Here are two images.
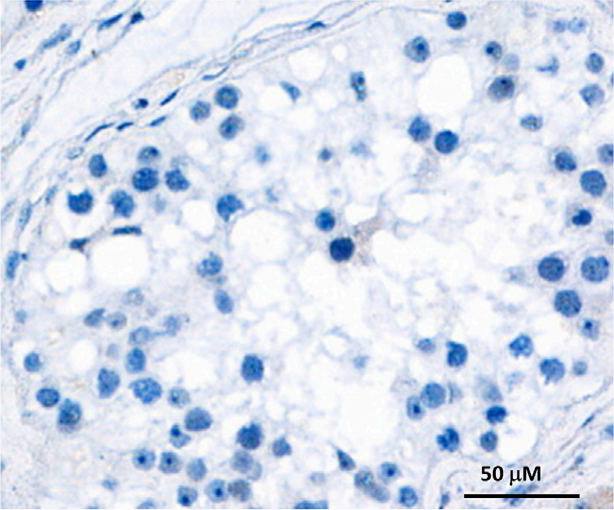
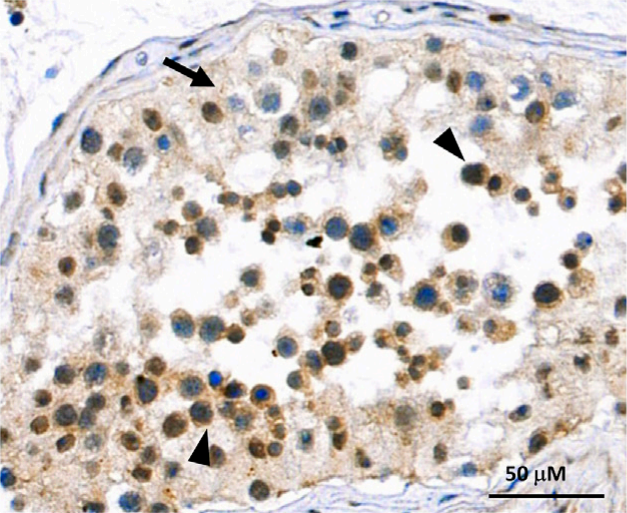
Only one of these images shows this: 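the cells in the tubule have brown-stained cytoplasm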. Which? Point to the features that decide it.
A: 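First image: cells show only blue nuclei with pale, unstained cytoplasm. Second image: many round cells have brown cytoplasm around blue nuclei. So: the second image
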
